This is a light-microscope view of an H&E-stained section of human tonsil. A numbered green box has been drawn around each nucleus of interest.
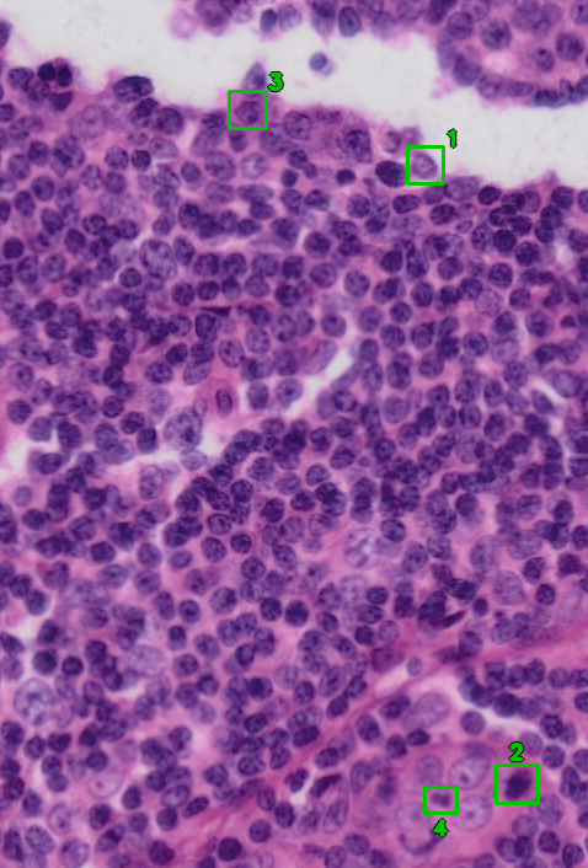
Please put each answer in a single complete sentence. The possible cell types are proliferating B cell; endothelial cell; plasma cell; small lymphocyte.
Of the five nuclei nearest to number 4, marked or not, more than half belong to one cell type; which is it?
Endothelial cells make up most of the five nuclei closest to number 4.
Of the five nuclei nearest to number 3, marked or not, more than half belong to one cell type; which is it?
Around number 3, most of the five nearest nuclei are those of proliferating B cells.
